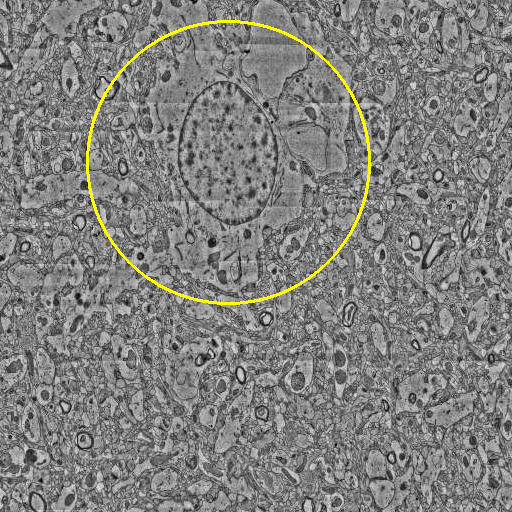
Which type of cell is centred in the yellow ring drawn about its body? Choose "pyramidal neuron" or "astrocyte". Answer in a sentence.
The yellow ring surrounds the cell body of an astrocyte.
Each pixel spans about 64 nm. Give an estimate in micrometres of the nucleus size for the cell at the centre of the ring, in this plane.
The nucleus works out at approximately 9 by 6 micrometres in this plane.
